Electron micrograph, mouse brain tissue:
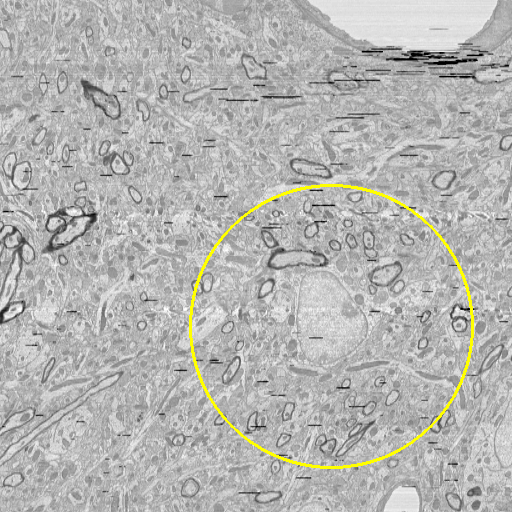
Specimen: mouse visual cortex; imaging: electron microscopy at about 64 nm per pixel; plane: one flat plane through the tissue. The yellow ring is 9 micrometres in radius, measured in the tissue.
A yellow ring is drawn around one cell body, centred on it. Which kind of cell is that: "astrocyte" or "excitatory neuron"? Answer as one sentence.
It is an astrocyte at the centre of the ring.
